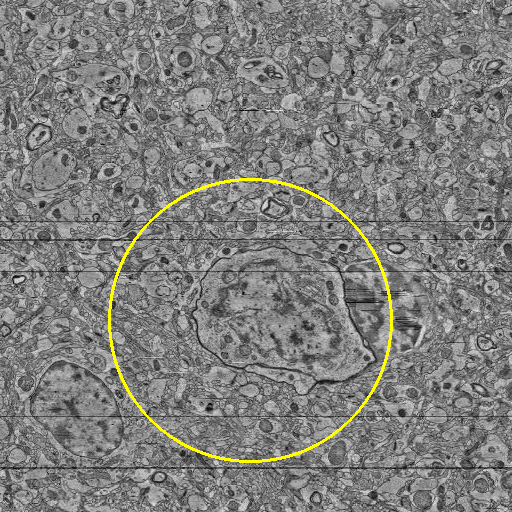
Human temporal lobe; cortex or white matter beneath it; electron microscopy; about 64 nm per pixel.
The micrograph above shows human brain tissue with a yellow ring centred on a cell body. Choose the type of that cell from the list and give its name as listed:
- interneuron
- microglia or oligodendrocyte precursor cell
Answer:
interneuron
